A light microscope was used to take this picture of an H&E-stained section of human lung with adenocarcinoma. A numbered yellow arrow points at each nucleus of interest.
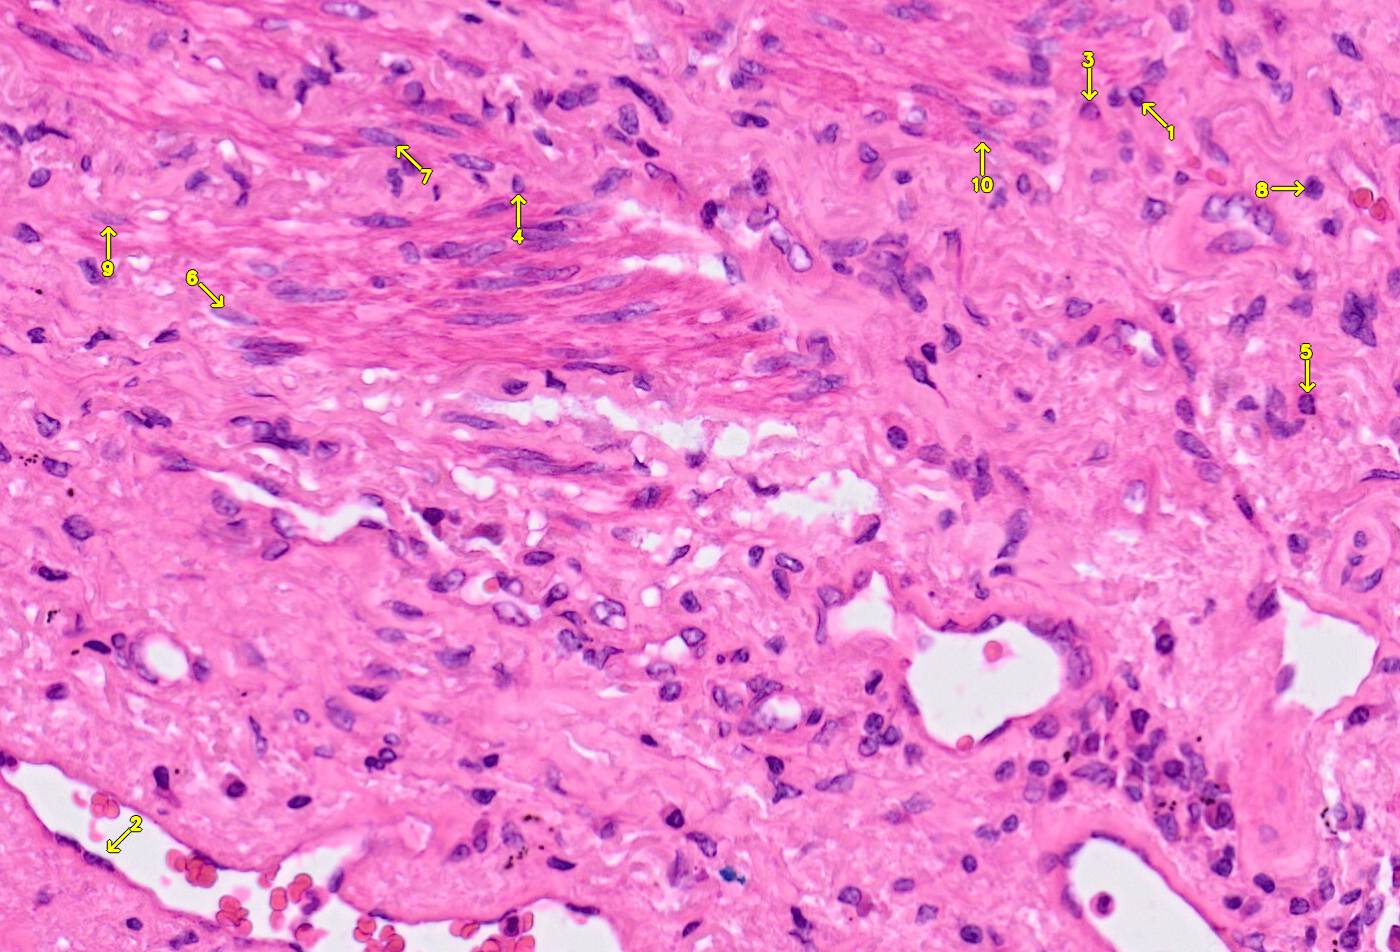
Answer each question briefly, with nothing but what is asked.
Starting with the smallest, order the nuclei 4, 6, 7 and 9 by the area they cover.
4, 7, 9, 6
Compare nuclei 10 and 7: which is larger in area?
10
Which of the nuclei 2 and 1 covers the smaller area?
1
